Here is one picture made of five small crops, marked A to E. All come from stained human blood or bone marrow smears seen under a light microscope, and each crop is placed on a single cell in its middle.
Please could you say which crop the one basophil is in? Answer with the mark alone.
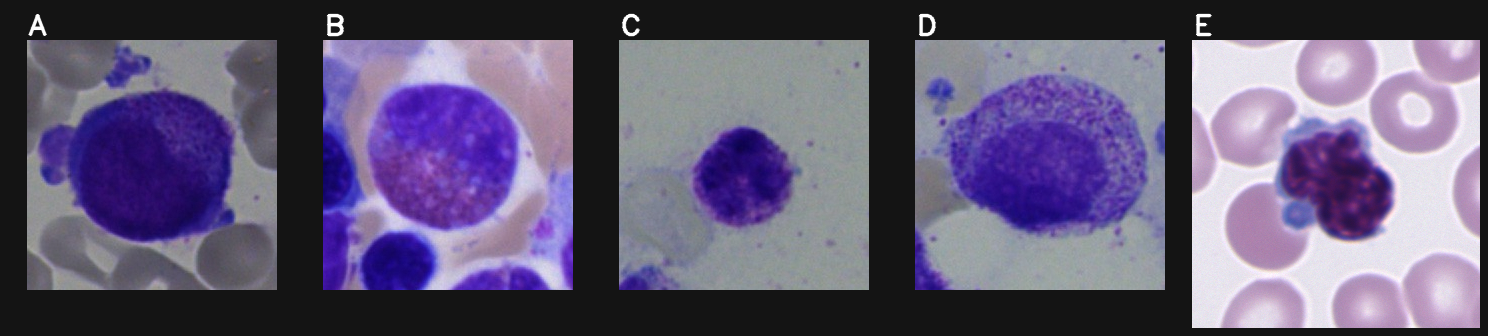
C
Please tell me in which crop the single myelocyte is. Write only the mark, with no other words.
D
